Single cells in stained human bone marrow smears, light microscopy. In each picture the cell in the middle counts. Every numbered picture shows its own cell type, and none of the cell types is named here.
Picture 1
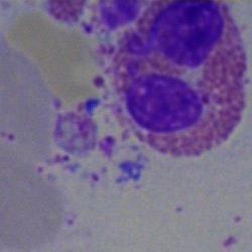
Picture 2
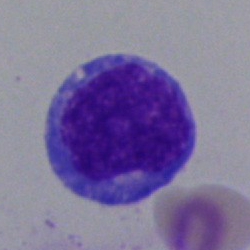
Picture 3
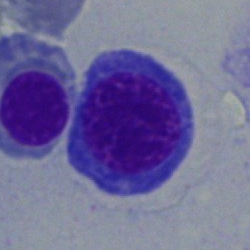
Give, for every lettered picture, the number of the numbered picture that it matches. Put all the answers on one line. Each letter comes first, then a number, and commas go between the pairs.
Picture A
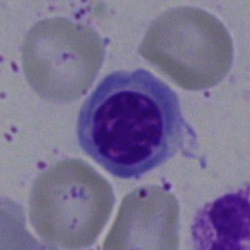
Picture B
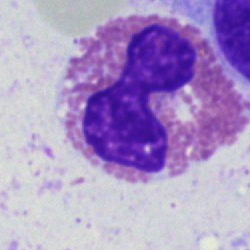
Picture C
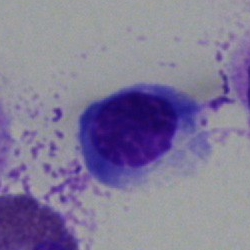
A 3, B 1, C 3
